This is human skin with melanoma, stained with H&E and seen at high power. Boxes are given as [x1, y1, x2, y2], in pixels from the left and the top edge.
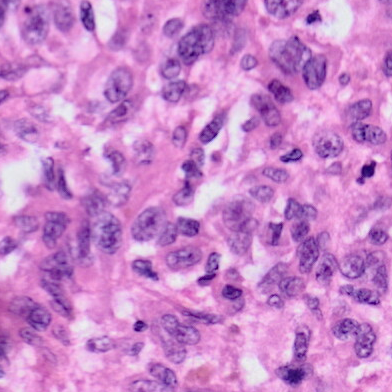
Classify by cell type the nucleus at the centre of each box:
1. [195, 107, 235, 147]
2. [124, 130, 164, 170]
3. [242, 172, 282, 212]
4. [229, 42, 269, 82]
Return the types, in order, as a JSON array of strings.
["melanoma cell", "melanoma cell", "melanoma cell", "macrophage or monocyte"]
